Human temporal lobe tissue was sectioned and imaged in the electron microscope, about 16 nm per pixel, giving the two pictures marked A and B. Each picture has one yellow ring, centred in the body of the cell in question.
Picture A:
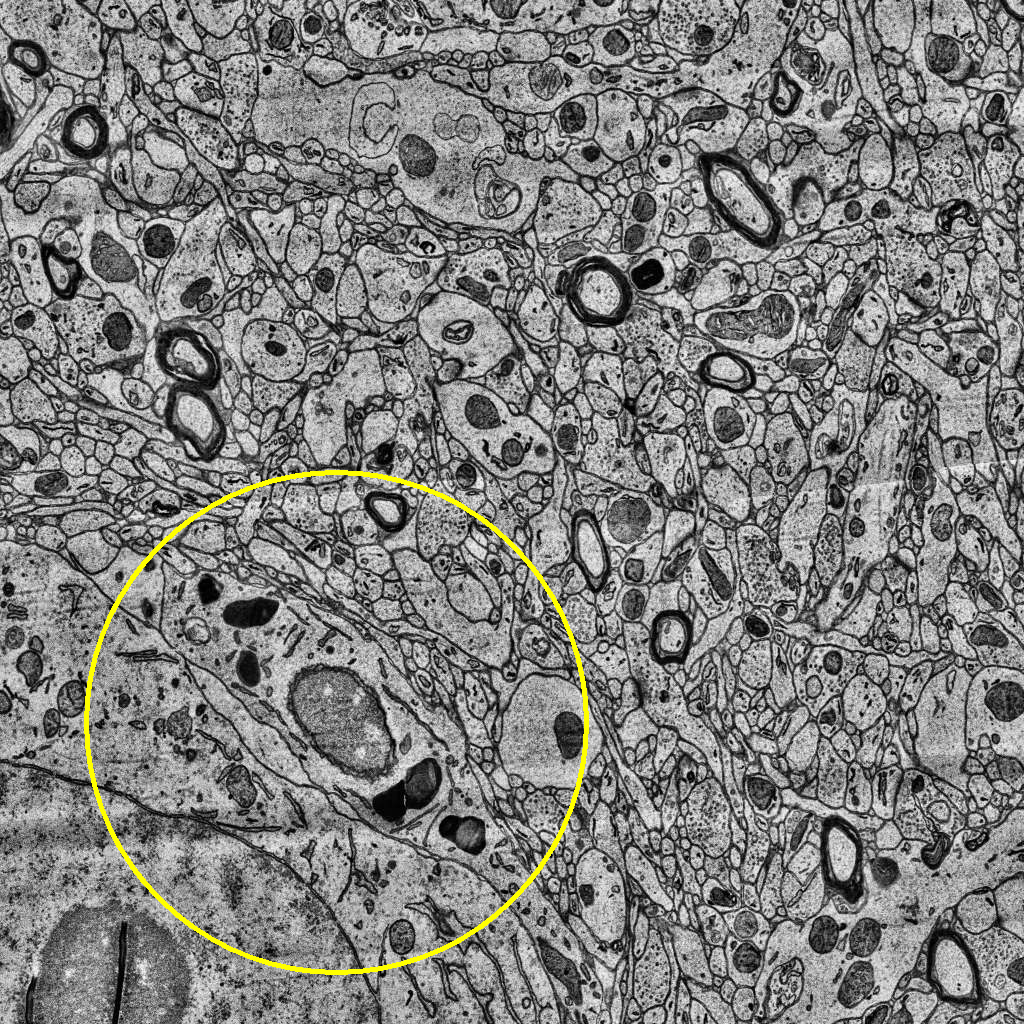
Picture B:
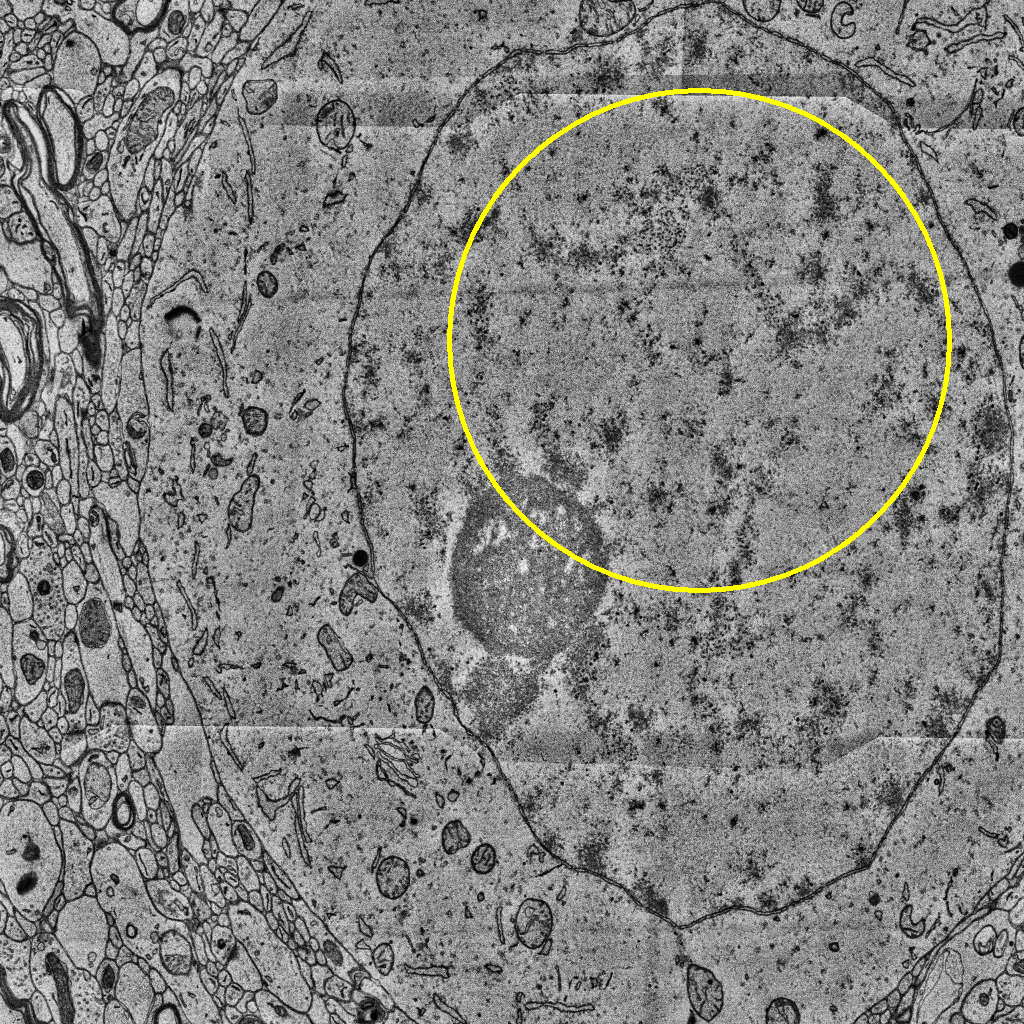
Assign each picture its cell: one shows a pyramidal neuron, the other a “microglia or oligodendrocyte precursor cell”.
It is picture A that shows a “microglia or oligodendrocyte precursor cell”, and picture B that shows a pyramidal neuron.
